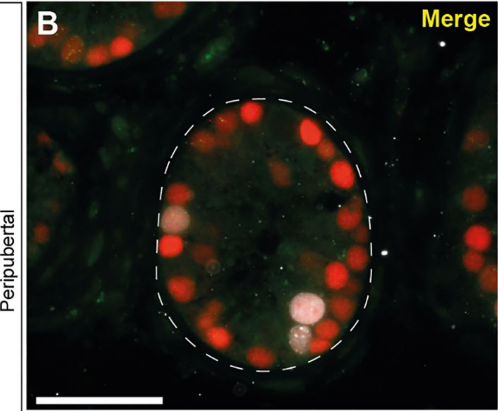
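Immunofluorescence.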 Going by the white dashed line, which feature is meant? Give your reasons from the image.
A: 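Basal lamina. A dashed white oval encloses a single tubular profile. A row of red nuclei lines the inner side of the dashed oval.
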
